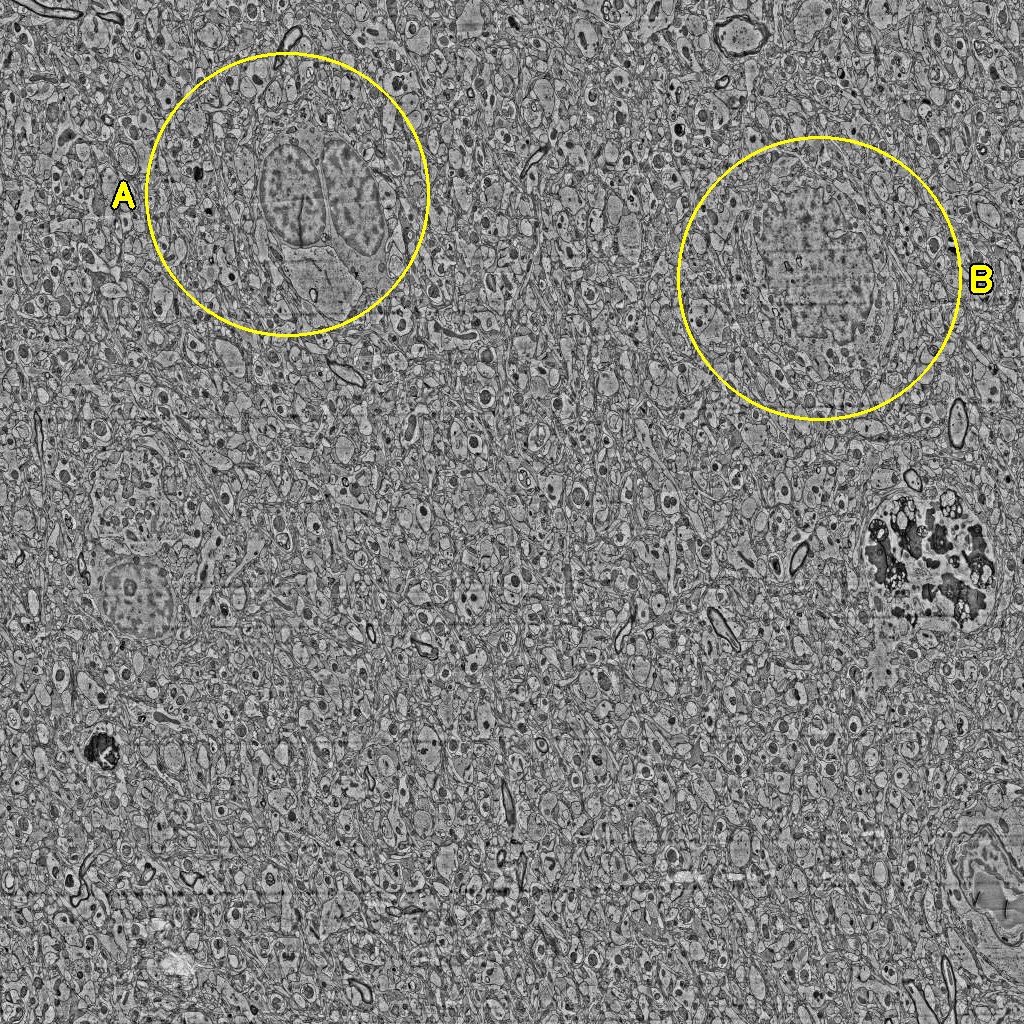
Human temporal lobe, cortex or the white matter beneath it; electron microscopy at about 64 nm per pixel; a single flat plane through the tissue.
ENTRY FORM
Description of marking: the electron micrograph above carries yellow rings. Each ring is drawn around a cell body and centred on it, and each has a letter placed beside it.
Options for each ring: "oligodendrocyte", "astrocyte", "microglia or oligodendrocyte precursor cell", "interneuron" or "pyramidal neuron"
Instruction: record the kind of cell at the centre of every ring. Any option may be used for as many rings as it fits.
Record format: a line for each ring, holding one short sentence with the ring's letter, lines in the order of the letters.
Ring A surrounds the cell body of an oligodendrocyte.
Ring B surrounds the cell body of an interneuron.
